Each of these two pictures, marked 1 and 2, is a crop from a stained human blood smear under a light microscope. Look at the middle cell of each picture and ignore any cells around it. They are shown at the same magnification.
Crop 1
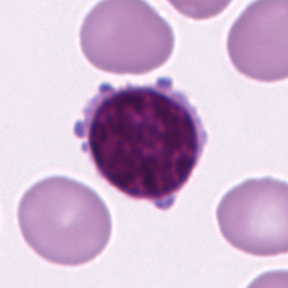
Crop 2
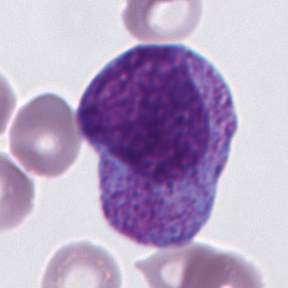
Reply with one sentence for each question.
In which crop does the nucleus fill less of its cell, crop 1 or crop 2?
Of the two, the nucleus in crop 2 leaves more room for cytoplasm.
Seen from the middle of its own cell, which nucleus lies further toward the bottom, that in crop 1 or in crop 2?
Seen within its cell, the nucleus in crop 1 lies further toward the bottom.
